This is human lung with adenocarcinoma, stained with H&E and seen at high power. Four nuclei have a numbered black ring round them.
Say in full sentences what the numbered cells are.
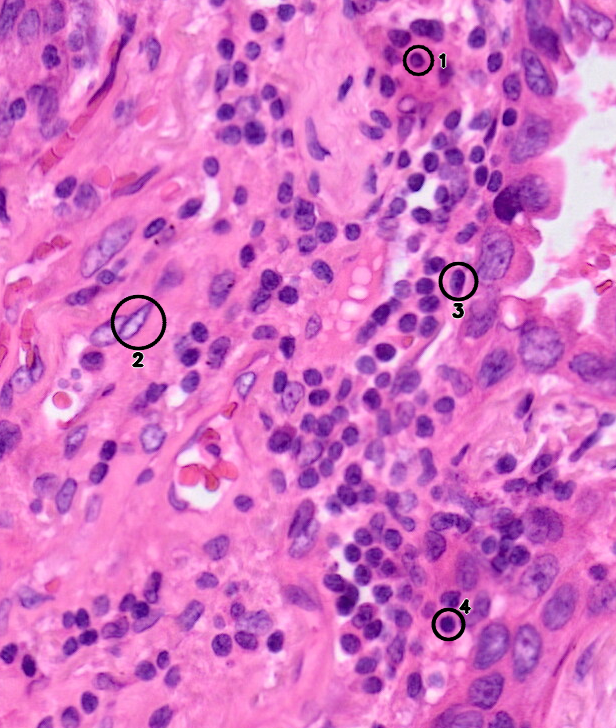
Cell 1 is a lymphocyte, cell 2 is an endothelial cell, cell 3 is a lymphocyte and cell 4 is a lymphocyte.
